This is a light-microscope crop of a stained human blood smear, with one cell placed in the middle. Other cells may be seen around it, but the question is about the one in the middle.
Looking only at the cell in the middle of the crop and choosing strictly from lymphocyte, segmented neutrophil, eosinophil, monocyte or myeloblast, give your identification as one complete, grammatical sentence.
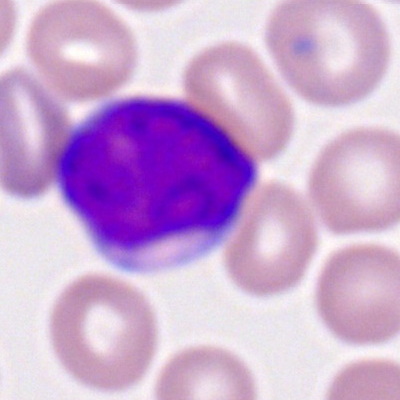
This crop's central cell is a myeloblast.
